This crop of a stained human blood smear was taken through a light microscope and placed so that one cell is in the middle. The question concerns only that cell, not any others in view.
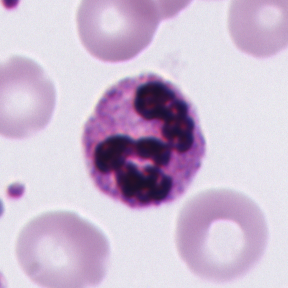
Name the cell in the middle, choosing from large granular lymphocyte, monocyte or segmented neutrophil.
segmented neutrophil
